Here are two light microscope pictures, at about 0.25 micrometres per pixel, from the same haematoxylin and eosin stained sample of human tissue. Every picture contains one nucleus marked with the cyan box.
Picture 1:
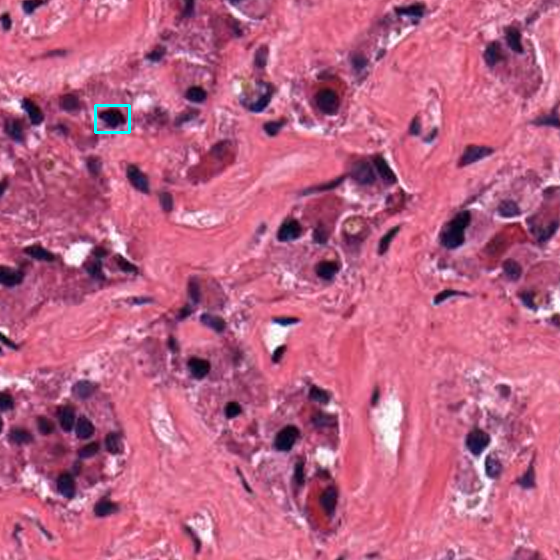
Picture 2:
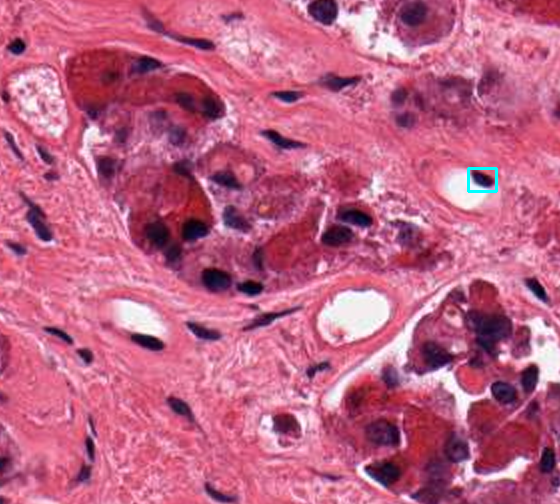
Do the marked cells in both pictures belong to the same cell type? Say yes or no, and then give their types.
No, the first is an anterior pituitary cell and the second an endothelial cell.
